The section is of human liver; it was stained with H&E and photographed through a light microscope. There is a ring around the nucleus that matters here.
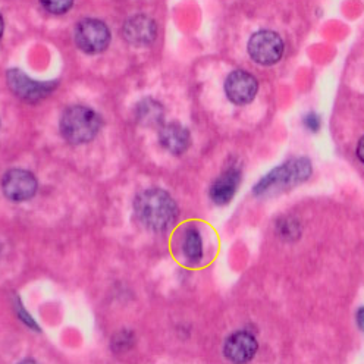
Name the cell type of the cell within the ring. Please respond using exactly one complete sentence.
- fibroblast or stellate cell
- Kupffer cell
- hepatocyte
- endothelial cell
Among the cells in this section, the cell within the ring is a fibroblast or stellate cell.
